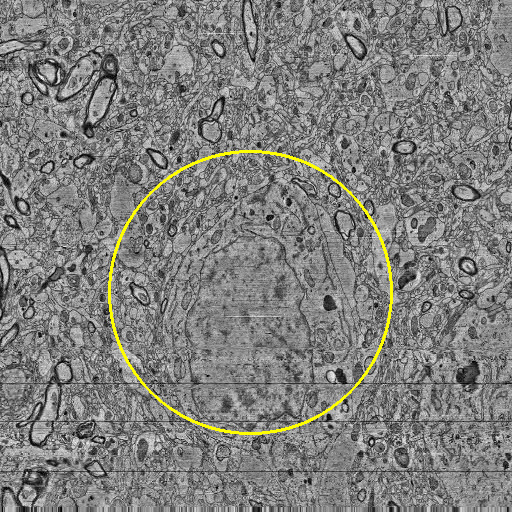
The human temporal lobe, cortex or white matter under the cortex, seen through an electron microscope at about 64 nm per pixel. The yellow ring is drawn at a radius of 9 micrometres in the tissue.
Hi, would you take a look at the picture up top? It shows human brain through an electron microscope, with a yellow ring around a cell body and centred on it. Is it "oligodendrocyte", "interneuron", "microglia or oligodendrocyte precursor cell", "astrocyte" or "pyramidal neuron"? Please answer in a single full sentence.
The best fit for the cell in the middle of the ring is an interneuron, I reckon.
